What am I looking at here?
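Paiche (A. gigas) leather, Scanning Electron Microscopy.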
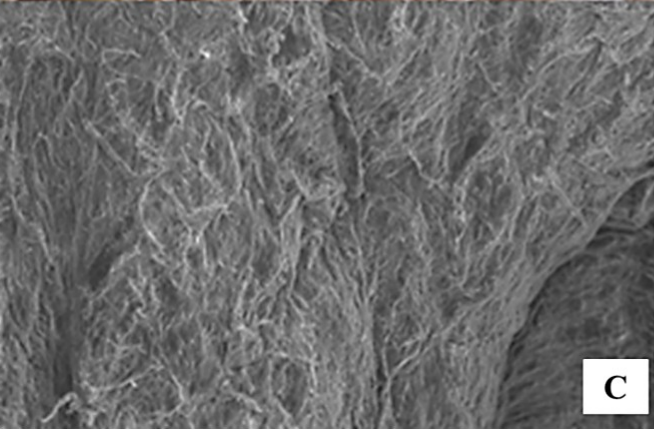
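The fibrils are thin and wavy, crossing and interweaving in many directions to form a loose mesh. No sheet of epidermal cells covers them, so the fibrous connective tissue itself is what we see. Toward the lower right the surface curves away into a smoother, more compact fibrous area.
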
